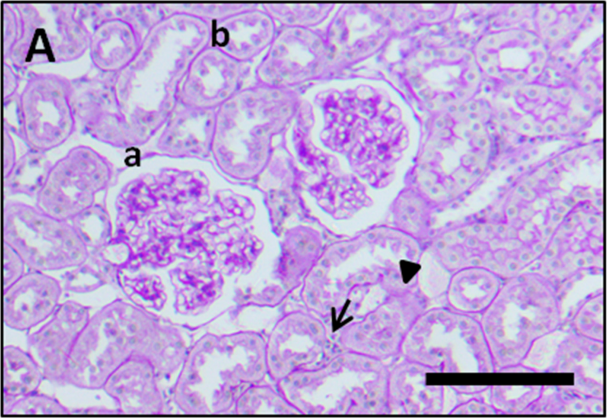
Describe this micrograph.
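Renal cortex with two glomeruli and many tubules cut in cross-section. The glomeruli show lobulated capillary tufts with magenta-outlined loops, separated from a thin capsule by a clear urinary space. Tubules are lined by cuboidal epithelium with round nuclei, and many have a fringed luminal border. Thin magenta membranes outline each tubule, and the interstitium between them is scanty. A few small dark nuclei lie between tubules.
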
